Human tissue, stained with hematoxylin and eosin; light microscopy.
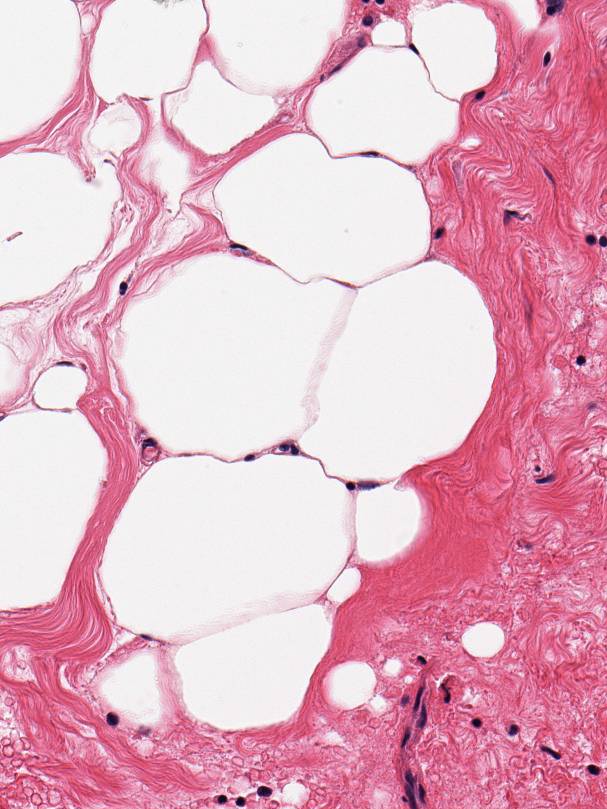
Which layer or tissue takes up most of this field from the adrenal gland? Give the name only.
fat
